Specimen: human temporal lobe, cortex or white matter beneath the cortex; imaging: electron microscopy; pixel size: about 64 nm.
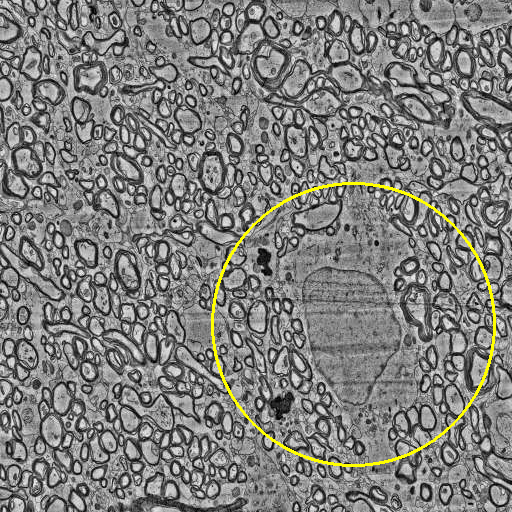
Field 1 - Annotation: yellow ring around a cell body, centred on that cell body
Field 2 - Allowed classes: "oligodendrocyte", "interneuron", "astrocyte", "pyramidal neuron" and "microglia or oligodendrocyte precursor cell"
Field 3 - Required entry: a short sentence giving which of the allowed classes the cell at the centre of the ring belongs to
The centred cell is an astrocyte.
